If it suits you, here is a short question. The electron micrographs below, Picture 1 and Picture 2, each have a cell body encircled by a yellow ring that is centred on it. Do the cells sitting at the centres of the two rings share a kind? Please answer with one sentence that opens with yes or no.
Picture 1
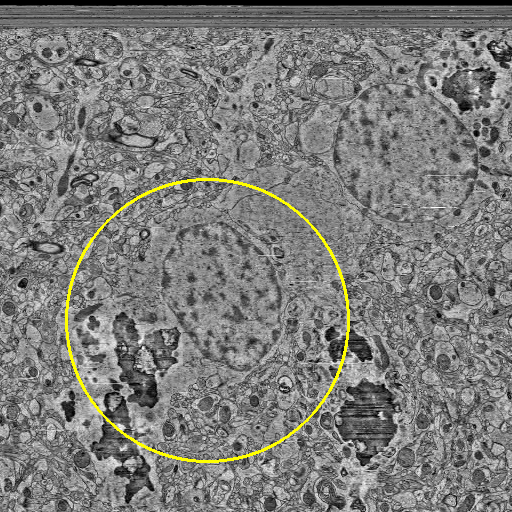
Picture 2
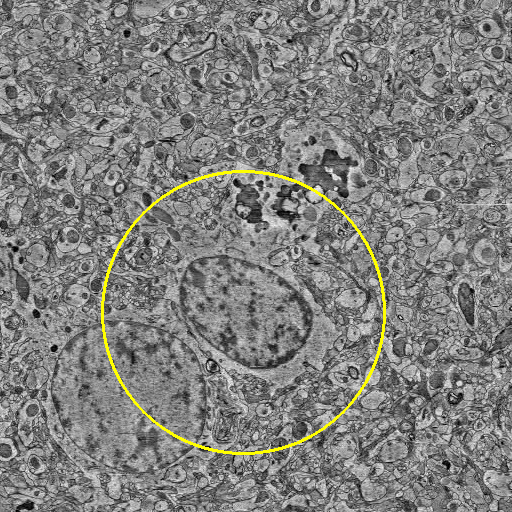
Yes, the two cells sitting at the ring centres share a single kind.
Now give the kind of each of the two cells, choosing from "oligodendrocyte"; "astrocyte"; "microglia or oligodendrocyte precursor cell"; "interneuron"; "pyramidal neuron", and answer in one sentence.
The second cell is an astrocyte, just as the first is.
